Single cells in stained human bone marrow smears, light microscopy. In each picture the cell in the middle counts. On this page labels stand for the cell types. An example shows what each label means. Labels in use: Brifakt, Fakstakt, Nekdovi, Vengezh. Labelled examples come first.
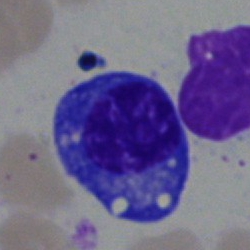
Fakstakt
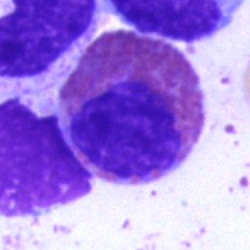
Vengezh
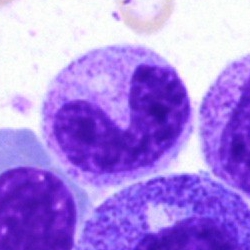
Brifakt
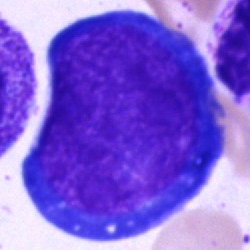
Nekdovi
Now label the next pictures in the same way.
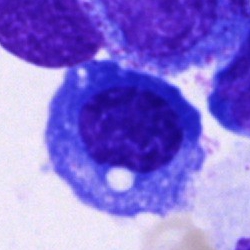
Fakstakt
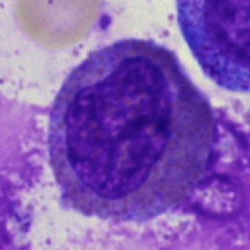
Vengezh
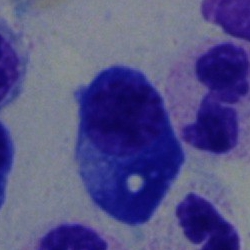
Fakstakt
